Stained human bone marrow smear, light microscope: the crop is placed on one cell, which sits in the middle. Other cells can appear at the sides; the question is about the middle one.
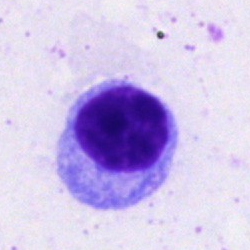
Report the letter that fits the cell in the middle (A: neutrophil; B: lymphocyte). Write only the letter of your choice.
B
